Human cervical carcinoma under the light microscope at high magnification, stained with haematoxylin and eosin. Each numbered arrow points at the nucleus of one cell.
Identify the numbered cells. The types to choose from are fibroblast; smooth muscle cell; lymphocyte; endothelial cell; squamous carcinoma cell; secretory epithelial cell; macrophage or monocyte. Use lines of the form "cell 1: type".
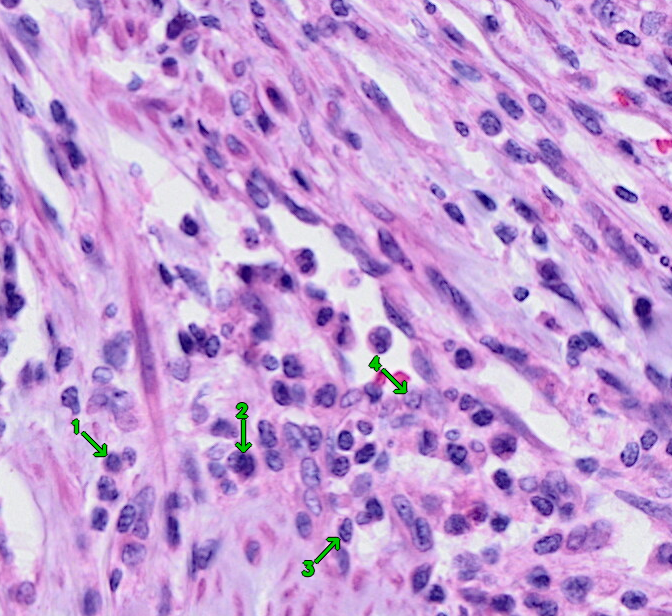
cell 1: lymphocyte
cell 2: lymphocyte
cell 3: lymphocyte
cell 4: endothelial cell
